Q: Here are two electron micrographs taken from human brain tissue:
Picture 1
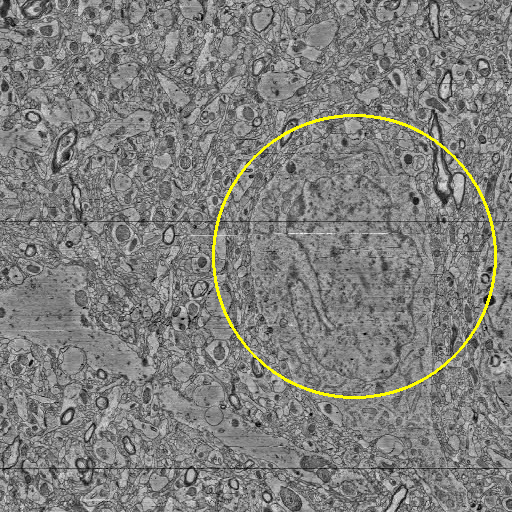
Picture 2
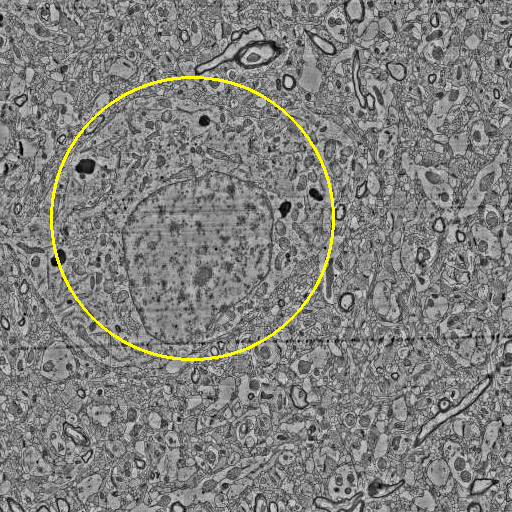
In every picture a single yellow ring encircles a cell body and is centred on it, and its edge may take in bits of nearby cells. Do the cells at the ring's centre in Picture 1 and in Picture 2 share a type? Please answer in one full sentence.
Yes, the cells at the ring's centre in Picture 1 and Picture 2 share a type.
